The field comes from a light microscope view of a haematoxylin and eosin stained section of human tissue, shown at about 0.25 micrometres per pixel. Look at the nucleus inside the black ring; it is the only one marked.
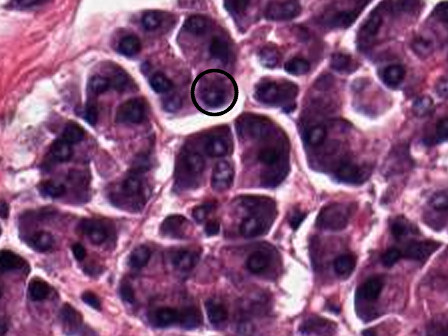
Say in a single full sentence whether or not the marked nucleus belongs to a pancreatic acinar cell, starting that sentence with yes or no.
Yes, the marked nucleus is located in a pancreatic acinar cell.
